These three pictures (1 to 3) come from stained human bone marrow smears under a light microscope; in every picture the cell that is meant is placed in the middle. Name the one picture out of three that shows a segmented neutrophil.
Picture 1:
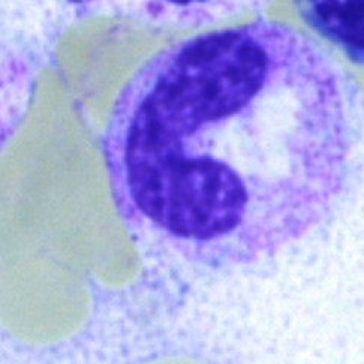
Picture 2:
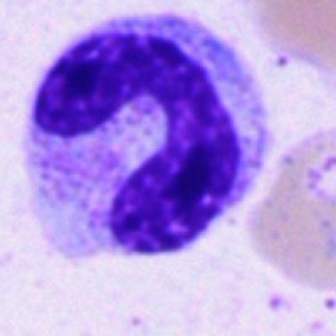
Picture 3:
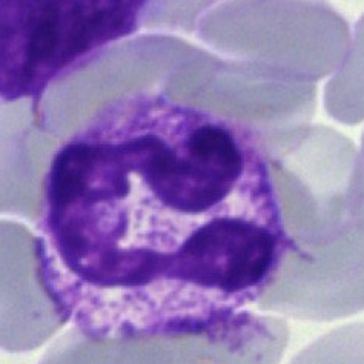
3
